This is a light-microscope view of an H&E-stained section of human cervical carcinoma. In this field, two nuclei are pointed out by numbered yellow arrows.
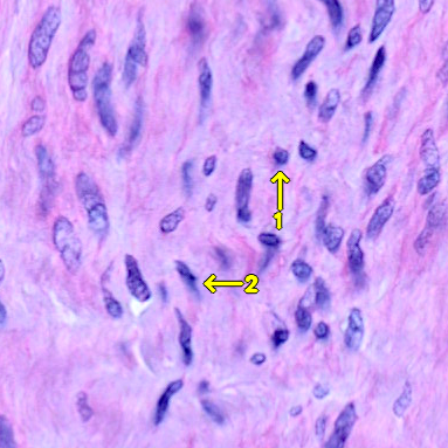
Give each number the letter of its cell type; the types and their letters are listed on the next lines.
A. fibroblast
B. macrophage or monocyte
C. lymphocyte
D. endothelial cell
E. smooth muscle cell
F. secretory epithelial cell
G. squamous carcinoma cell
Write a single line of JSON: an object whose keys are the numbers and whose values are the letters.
{"1": "E", "2": "A"}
